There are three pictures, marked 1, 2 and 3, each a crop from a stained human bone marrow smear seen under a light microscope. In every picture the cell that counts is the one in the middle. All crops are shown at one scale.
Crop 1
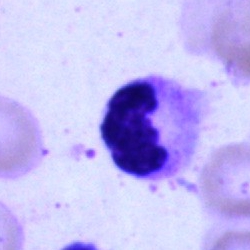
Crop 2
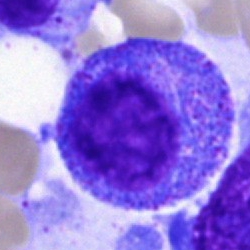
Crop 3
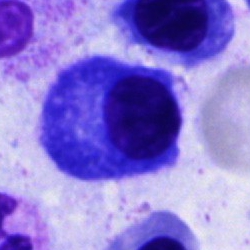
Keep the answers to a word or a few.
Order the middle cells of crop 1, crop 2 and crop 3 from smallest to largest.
1, 3, 2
